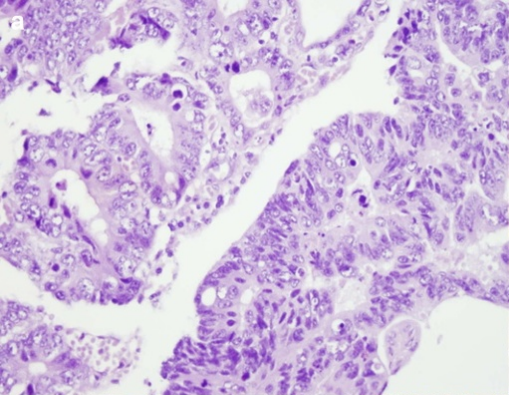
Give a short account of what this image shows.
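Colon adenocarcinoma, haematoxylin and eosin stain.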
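Sheets and nests of crowded tumour cells fill the field, parted by an empty cleft running diagonally. Small gland-like spaces open here and there within the nests, some holding pale material. Scattered dark, shrunken cells stand out among the rest.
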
